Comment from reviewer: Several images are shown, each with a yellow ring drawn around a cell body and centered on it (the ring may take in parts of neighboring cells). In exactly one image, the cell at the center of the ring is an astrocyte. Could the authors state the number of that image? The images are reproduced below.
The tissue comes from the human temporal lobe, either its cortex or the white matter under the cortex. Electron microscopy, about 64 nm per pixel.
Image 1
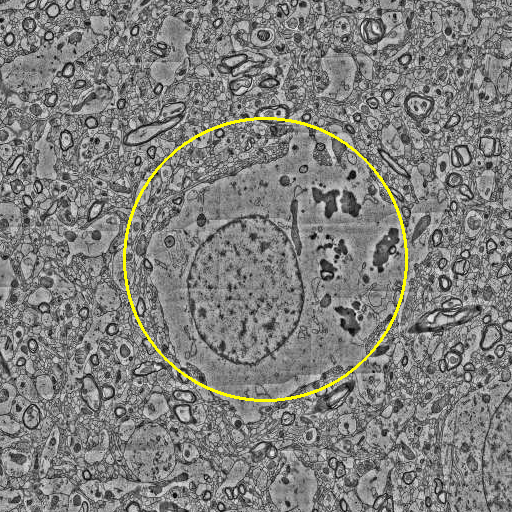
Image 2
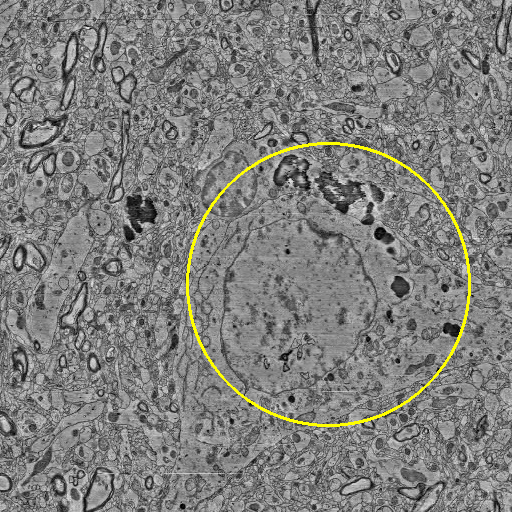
1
